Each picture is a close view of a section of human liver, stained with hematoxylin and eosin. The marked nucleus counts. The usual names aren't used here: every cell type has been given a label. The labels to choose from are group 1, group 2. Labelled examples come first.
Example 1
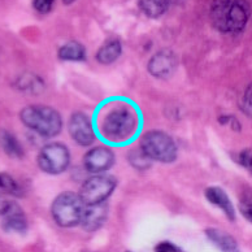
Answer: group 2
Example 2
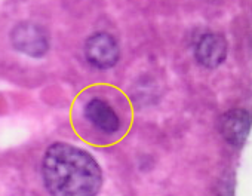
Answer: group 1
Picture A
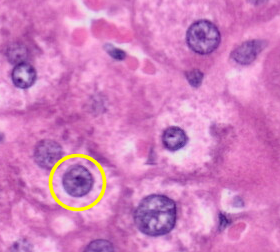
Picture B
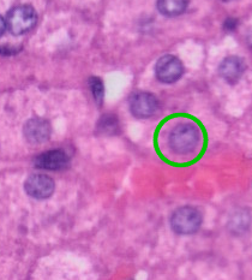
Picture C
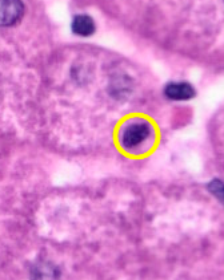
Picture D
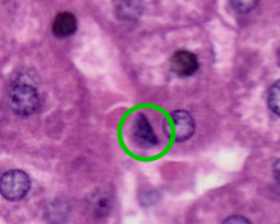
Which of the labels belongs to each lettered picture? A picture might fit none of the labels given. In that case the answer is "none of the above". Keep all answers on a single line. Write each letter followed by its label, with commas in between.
A none of the above, B none of the above, C group 1, D group 1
